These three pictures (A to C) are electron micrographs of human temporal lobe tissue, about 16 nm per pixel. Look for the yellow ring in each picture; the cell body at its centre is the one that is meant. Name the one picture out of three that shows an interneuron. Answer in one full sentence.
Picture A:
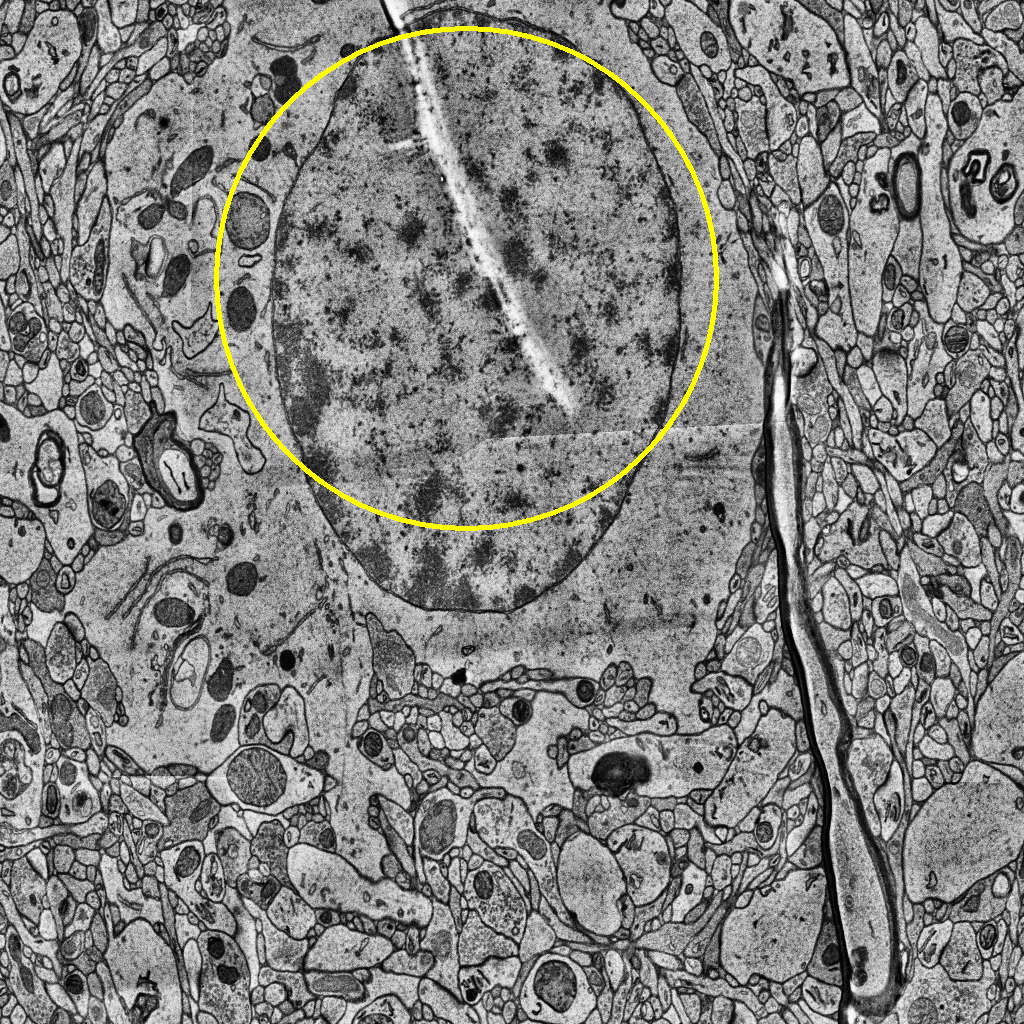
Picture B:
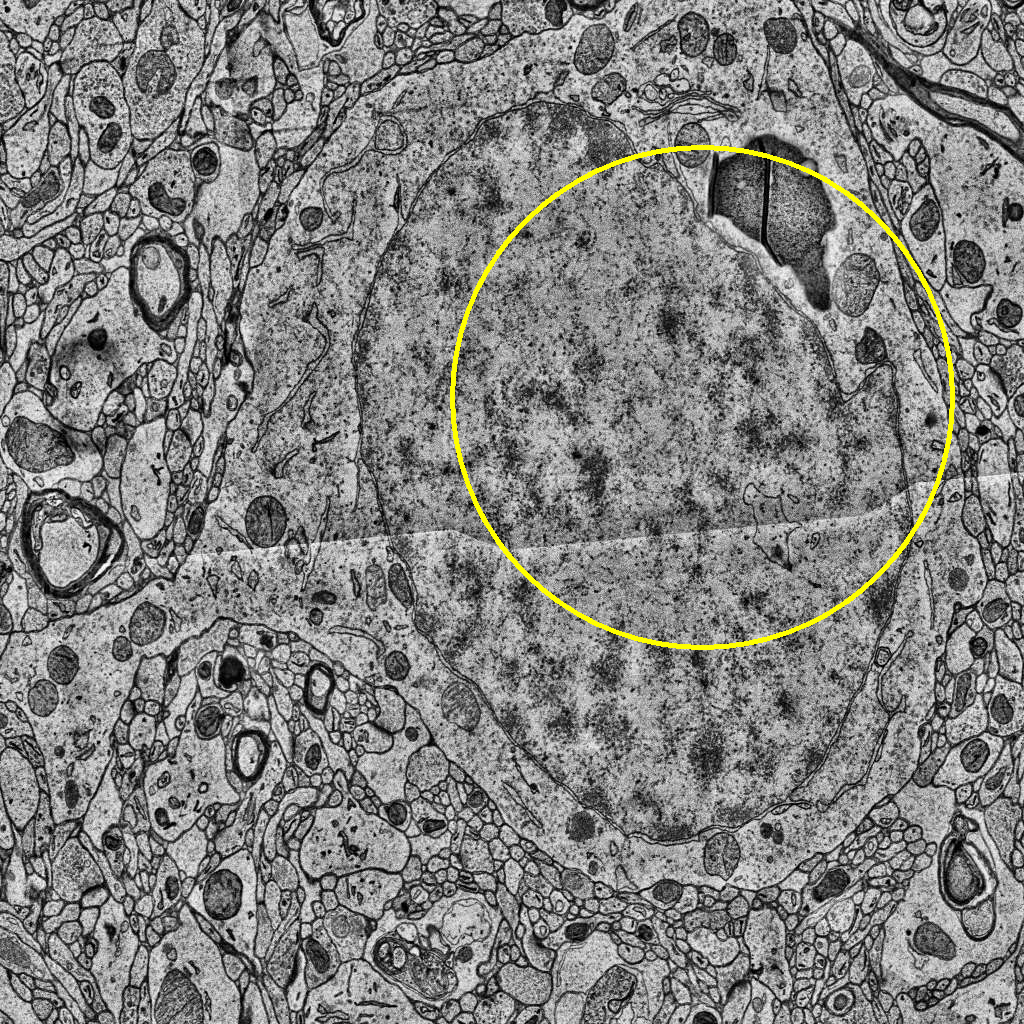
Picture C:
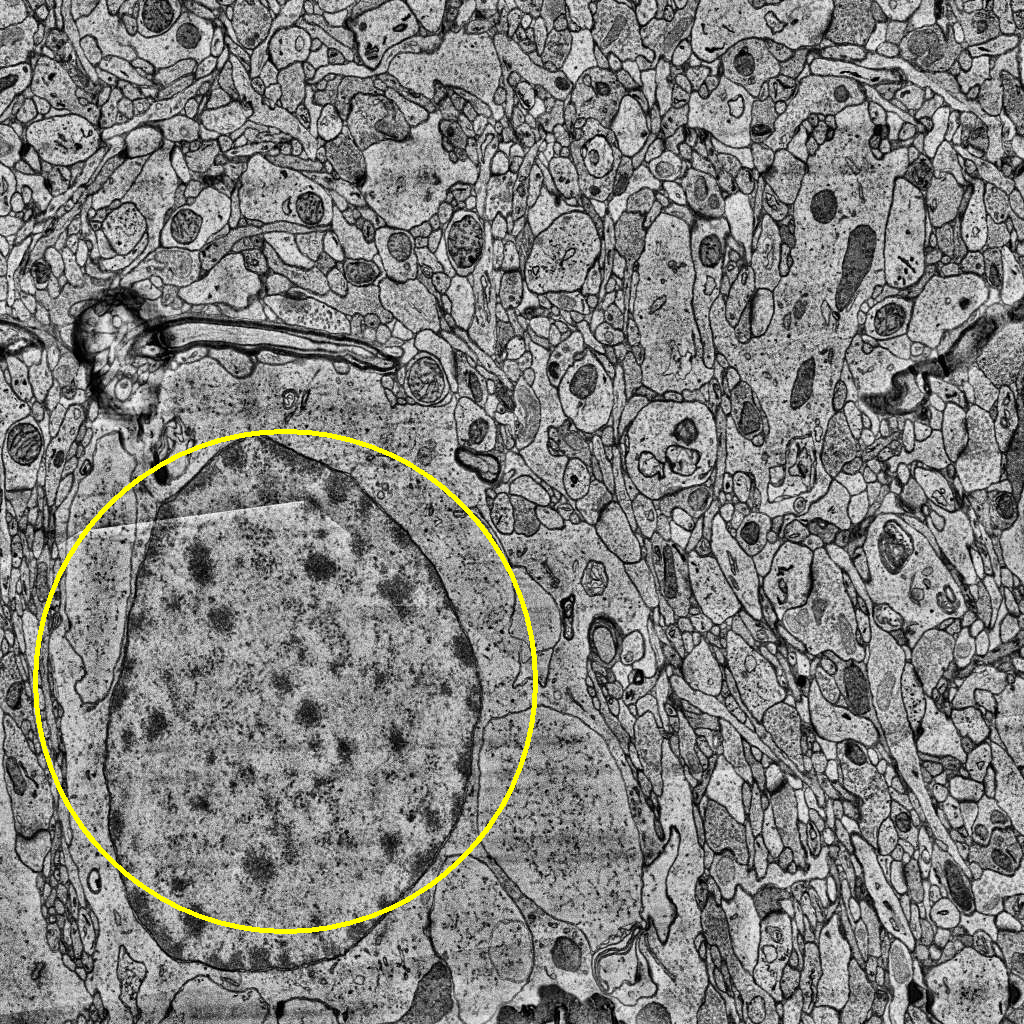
The interneuron is the one in picture B.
